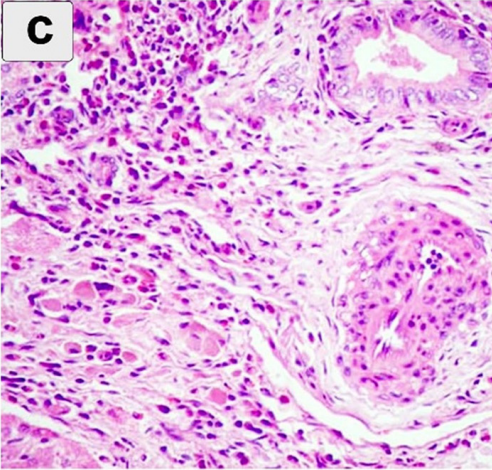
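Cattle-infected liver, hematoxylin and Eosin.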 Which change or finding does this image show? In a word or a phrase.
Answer: Periductal fibrosis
